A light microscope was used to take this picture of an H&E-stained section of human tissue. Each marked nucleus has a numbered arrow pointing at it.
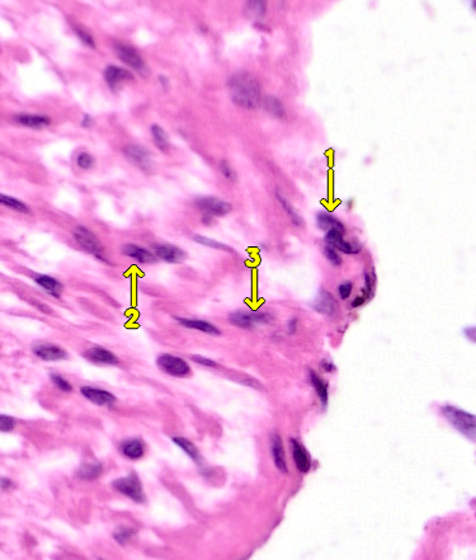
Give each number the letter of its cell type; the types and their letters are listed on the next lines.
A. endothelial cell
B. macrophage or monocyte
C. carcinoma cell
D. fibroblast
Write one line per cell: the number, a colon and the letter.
1: B
2: D
3: D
